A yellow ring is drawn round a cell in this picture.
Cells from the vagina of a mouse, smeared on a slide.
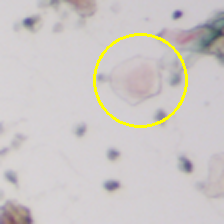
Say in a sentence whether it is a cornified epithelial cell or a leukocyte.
The cell in the ring is a cornified epithelial cell.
